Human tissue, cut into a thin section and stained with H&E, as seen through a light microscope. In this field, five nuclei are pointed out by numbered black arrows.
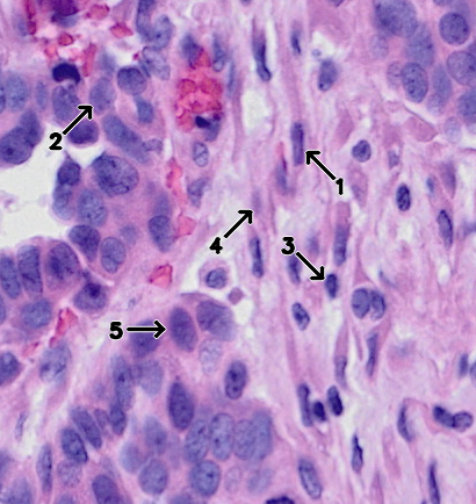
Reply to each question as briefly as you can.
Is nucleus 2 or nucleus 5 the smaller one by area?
2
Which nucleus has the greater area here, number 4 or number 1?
1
